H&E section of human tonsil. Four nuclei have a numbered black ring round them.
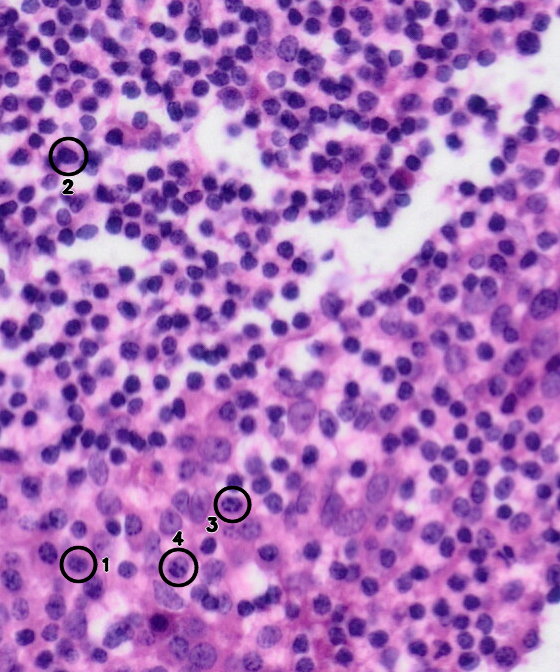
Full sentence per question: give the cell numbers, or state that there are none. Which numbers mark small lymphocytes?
There is only one numbered cell that is a small lymphocyte, and it is cell 2.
